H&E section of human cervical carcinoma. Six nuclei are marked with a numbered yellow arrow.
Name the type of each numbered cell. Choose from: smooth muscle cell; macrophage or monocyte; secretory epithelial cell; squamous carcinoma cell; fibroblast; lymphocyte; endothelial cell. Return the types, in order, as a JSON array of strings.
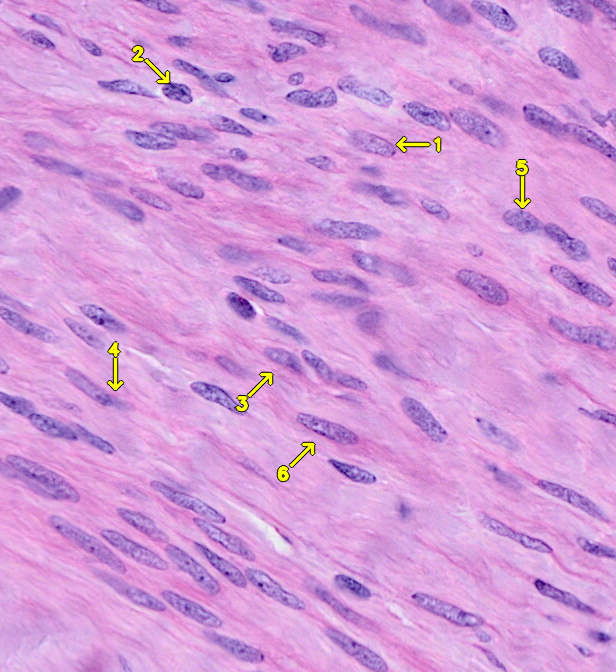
["smooth muscle cell", "lymphocyte", "smooth muscle cell", "smooth muscle cell", "fibroblast", "smooth muscle cell"]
